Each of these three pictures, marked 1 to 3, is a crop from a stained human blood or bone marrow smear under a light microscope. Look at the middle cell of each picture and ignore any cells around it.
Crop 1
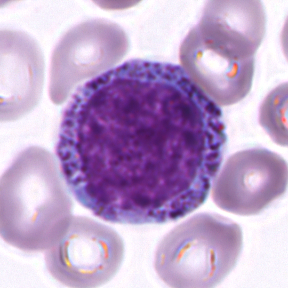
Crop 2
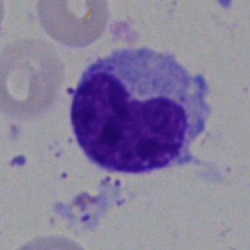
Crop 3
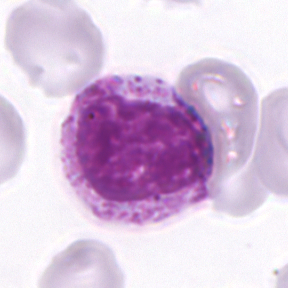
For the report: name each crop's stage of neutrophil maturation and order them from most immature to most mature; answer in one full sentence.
From least to most mature, the order is crop 1 (a promyelocyte), crop 3 (a myelocyte) and crop 2 (a metamyelocyte).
